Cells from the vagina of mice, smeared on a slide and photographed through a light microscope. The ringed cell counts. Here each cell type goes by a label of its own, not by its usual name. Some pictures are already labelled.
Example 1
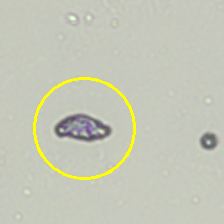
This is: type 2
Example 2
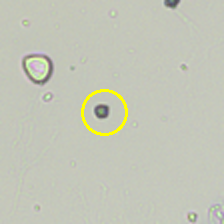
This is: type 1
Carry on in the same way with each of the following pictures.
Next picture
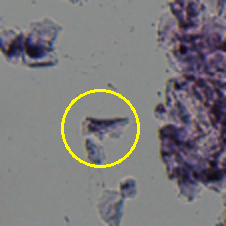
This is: type 2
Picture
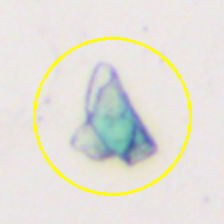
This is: type 2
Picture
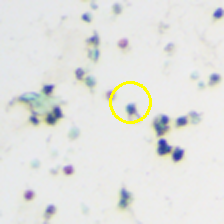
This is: type 1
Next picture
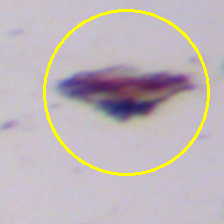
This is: type 2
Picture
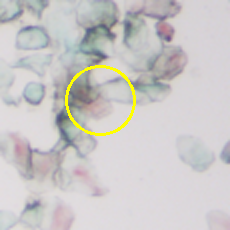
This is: type 2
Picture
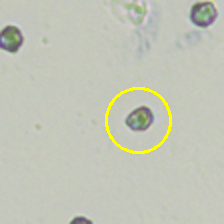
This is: type 1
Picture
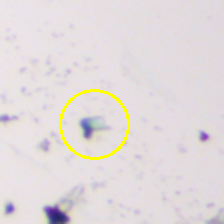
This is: type 2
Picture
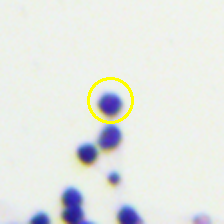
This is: type 1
